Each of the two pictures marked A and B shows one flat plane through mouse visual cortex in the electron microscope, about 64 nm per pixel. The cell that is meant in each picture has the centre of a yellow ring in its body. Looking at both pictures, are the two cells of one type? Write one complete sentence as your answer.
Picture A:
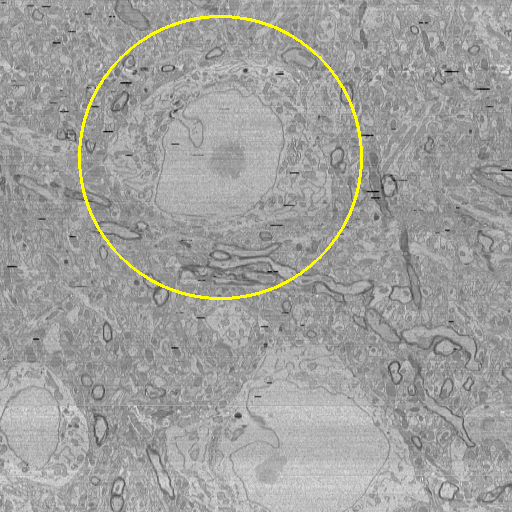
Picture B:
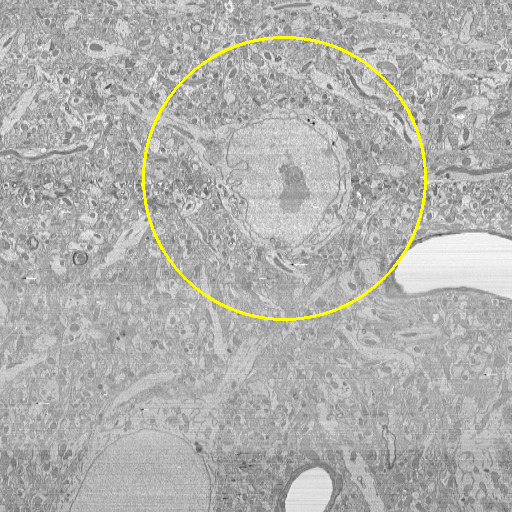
Yes; the cells in both pictures are inhibitory neurons.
